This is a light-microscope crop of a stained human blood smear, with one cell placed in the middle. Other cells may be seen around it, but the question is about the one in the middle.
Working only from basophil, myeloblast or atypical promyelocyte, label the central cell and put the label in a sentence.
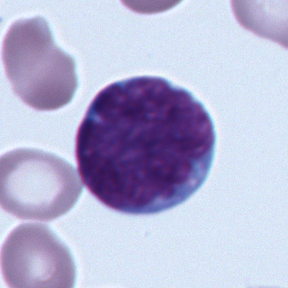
The cell centered in this field of view is a myeloblast.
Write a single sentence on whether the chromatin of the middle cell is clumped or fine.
The chromatin in this nucleus is coarsely clumped.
